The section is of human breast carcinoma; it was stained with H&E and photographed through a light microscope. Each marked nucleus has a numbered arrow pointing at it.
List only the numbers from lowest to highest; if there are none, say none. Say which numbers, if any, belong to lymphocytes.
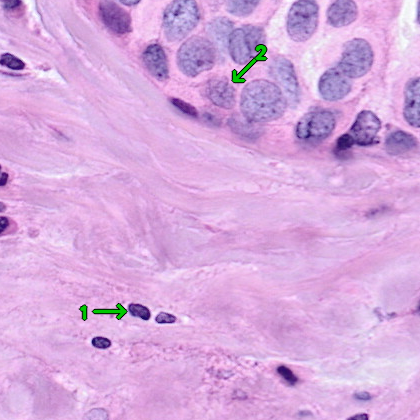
1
